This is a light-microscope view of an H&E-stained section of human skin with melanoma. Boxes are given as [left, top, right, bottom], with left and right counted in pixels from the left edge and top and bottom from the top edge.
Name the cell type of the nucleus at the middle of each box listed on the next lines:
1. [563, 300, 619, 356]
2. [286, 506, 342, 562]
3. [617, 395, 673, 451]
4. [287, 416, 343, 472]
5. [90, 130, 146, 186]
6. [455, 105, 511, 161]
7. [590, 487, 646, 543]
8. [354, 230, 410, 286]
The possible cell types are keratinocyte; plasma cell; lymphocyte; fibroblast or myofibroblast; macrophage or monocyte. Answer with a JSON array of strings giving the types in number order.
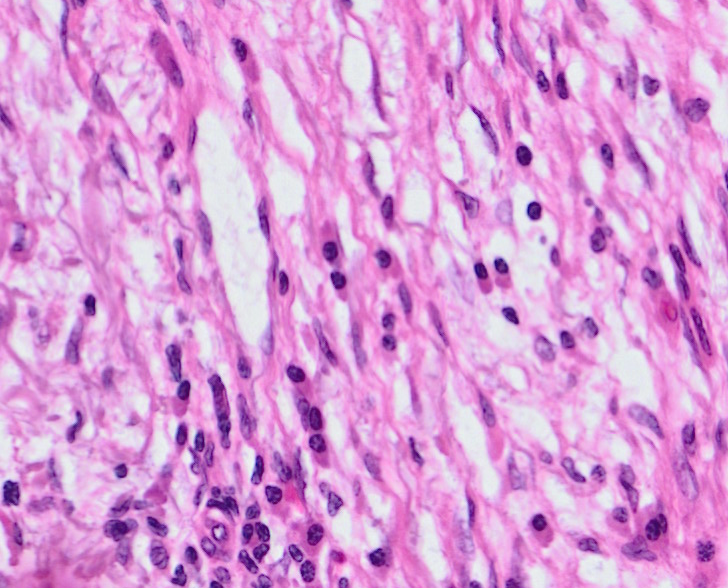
["lymphocyte", "plasma cell", "macrophage or monocyte", "plasma cell", "fibroblast or myofibroblast", "fibroblast or myofibroblast", "plasma cell", "plasma cell"]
